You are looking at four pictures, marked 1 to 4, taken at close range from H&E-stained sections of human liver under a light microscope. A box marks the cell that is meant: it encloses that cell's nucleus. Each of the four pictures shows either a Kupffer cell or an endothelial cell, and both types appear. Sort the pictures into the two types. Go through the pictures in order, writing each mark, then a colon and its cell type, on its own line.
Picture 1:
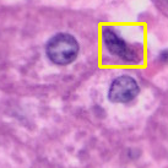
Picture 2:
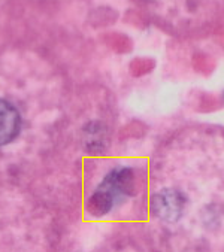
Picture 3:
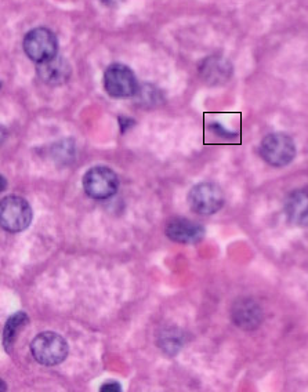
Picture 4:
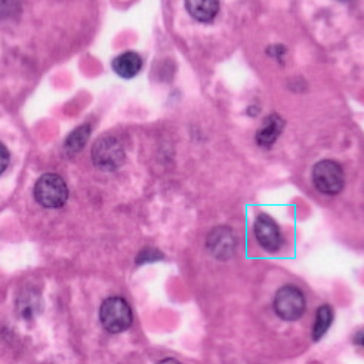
1: Kupffer cell
2: endothelial cell
3: endothelial cell
4: Kupffer cell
